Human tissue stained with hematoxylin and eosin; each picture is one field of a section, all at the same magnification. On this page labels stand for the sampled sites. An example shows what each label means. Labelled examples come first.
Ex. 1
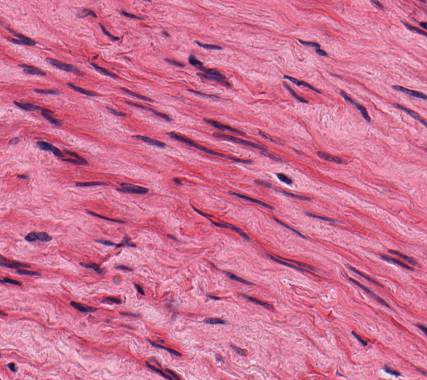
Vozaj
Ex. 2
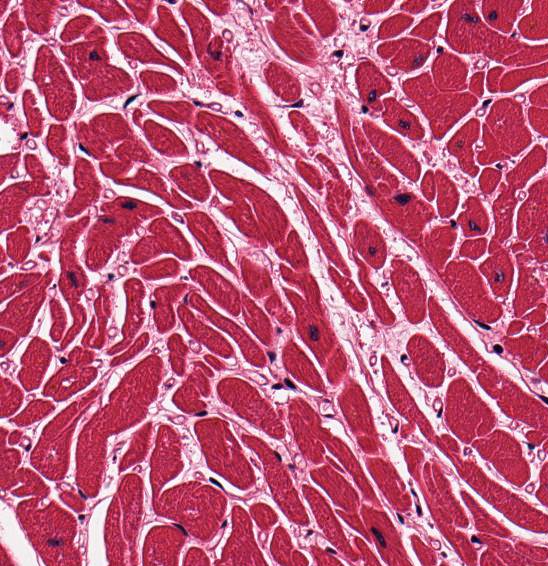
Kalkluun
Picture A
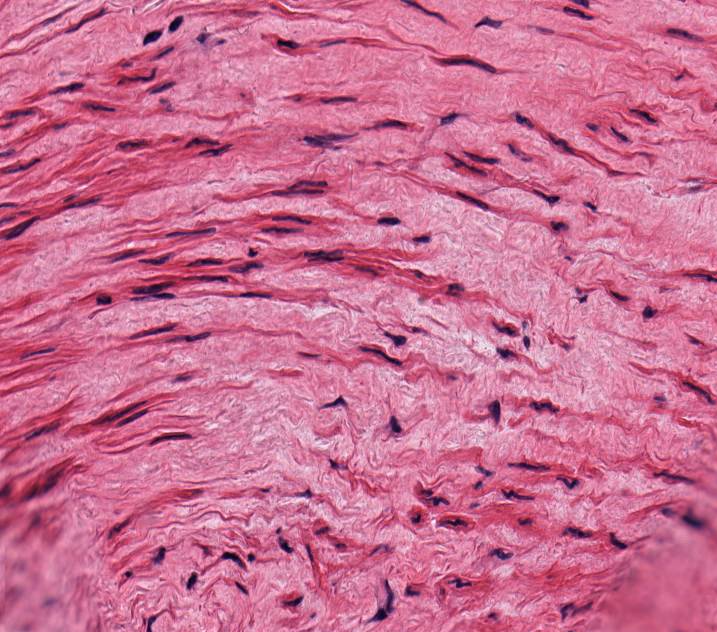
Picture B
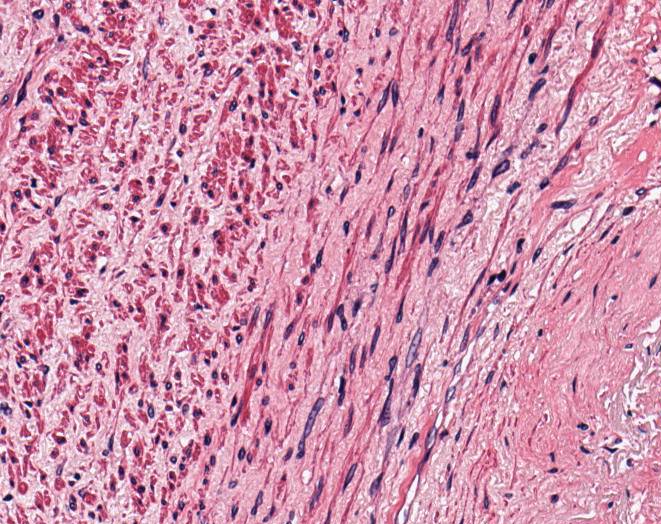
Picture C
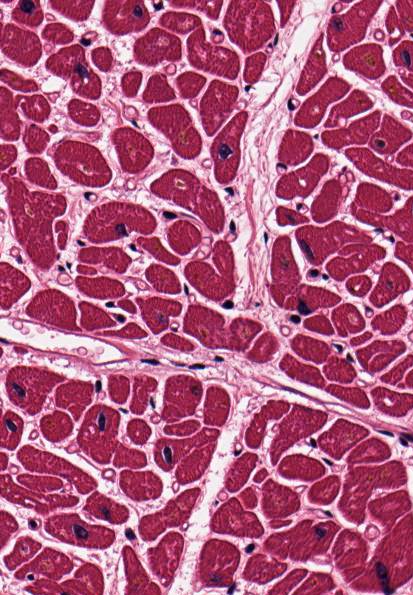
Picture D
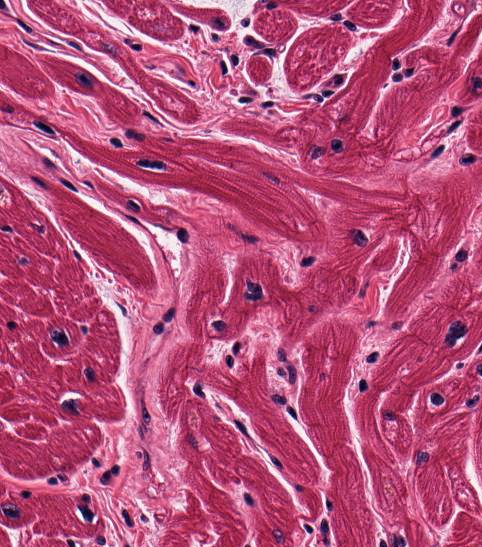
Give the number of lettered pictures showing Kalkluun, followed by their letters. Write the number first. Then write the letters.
Count: 2 (C, D)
